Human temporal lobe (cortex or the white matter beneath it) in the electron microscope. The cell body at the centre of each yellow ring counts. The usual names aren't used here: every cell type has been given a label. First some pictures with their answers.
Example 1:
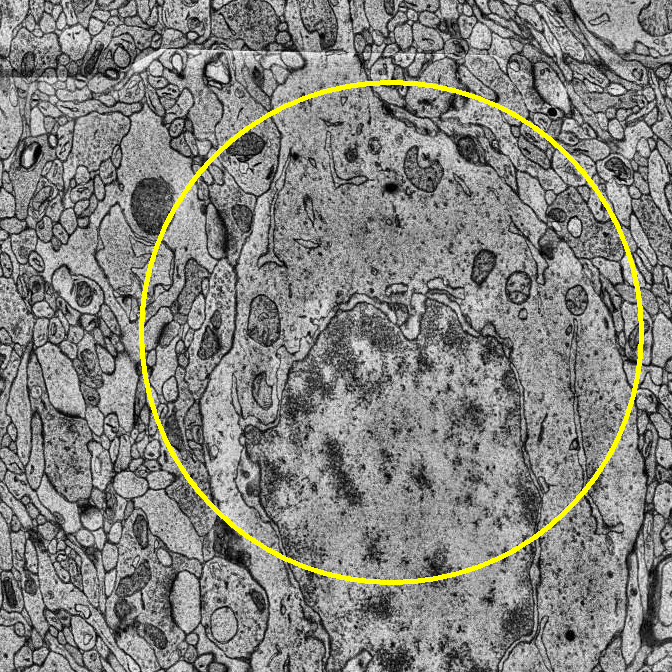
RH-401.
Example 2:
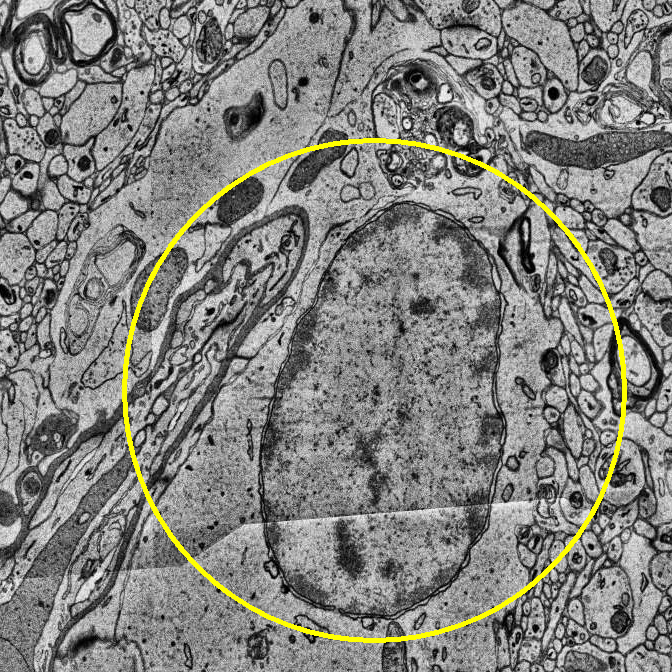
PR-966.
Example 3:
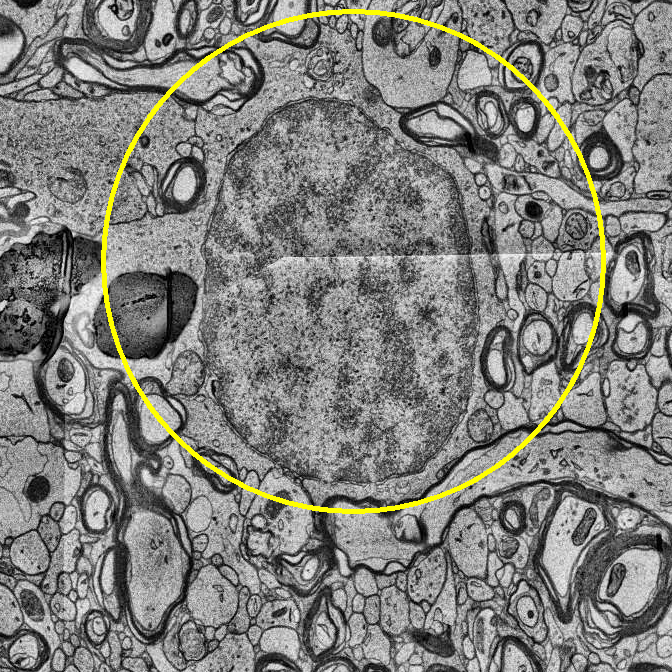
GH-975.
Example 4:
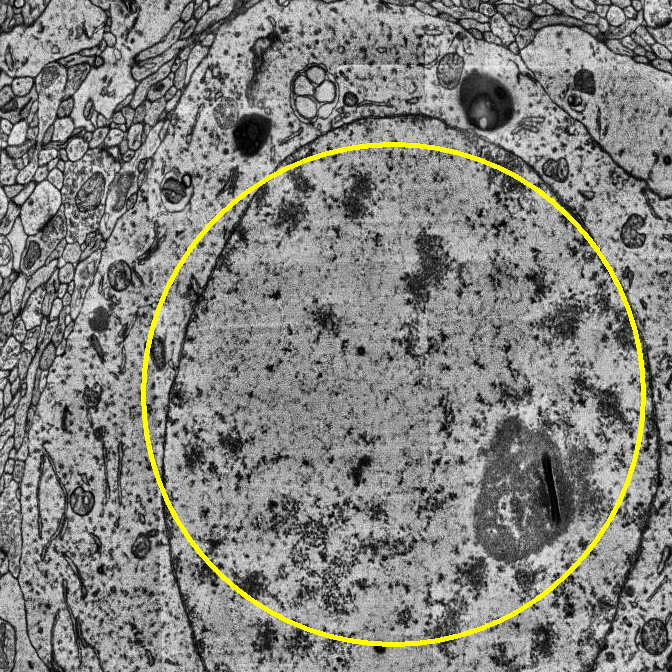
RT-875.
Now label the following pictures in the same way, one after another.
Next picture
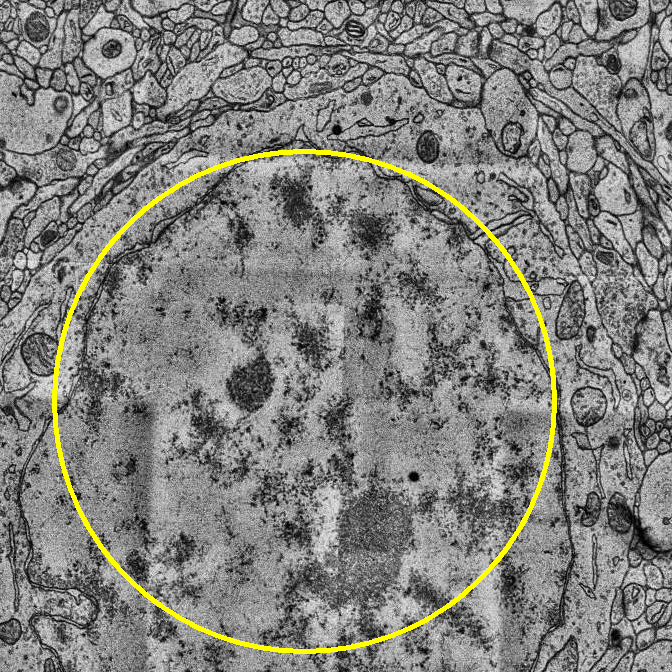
RH-401.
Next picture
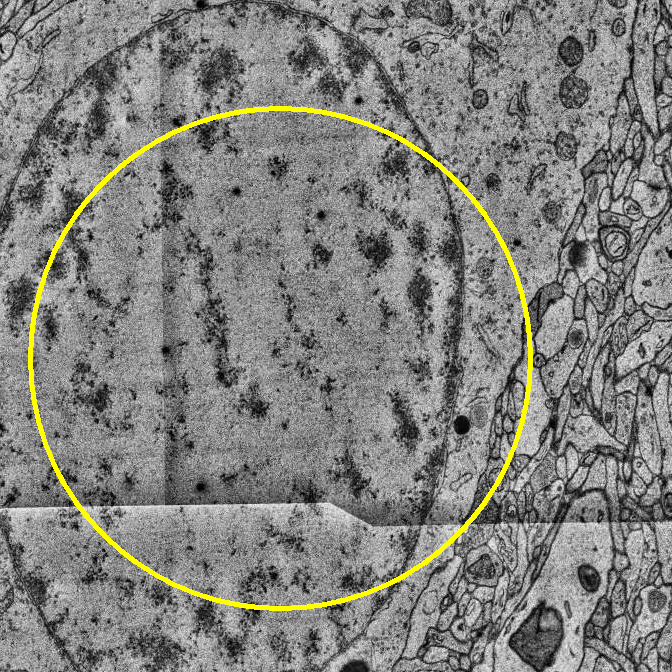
RT-875.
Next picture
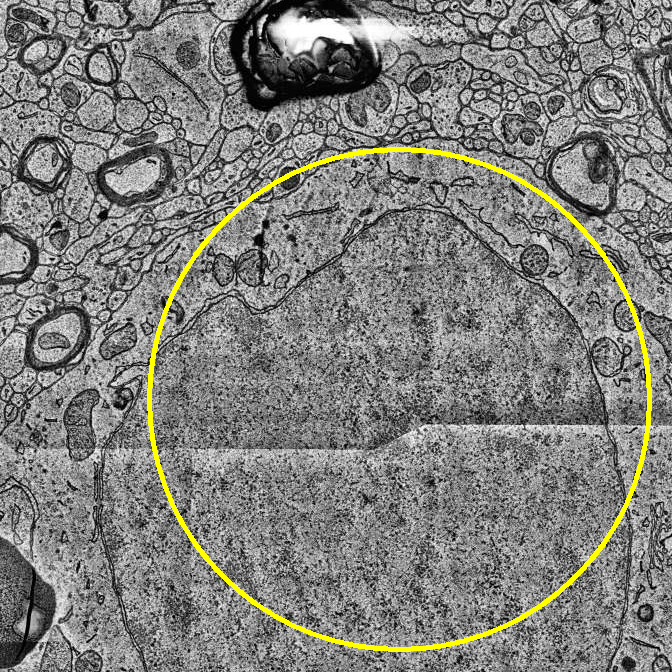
RH-401.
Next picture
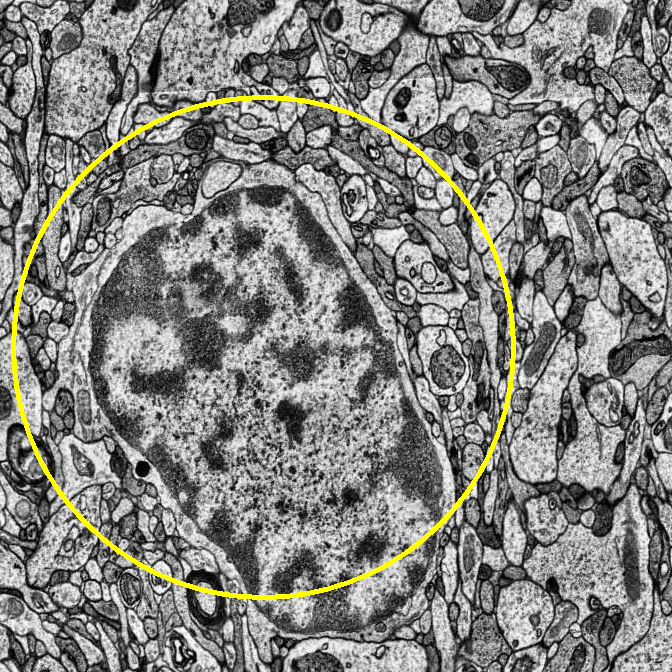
PR-966.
